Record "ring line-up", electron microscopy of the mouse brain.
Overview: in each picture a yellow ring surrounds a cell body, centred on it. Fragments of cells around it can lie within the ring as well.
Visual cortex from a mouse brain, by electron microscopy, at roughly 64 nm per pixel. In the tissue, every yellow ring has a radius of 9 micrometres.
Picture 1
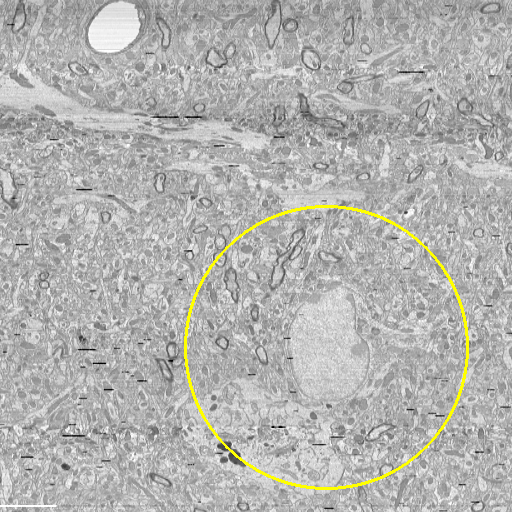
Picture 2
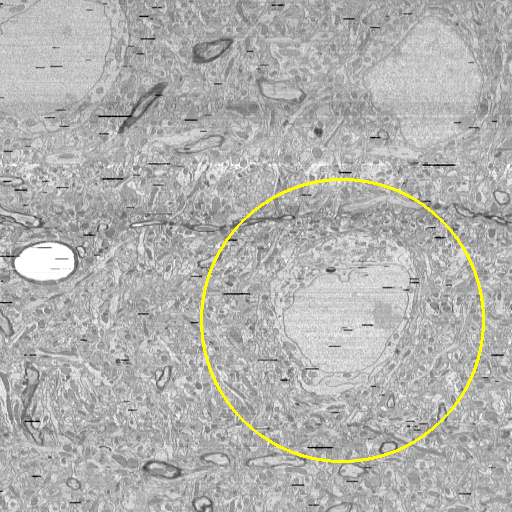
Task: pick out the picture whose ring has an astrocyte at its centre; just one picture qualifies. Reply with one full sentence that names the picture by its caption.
Going by the cell at the ring's centre, the right choice is Picture 1.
